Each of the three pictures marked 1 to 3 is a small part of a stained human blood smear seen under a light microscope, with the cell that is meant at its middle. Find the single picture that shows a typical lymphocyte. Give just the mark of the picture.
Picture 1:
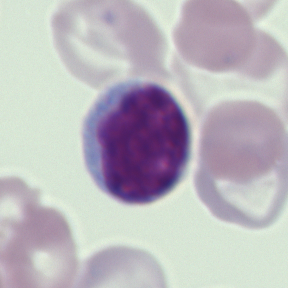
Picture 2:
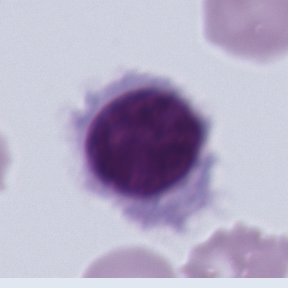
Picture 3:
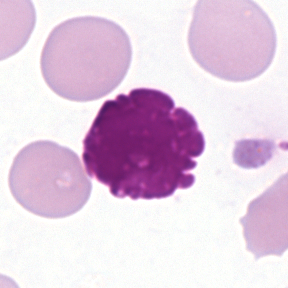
1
